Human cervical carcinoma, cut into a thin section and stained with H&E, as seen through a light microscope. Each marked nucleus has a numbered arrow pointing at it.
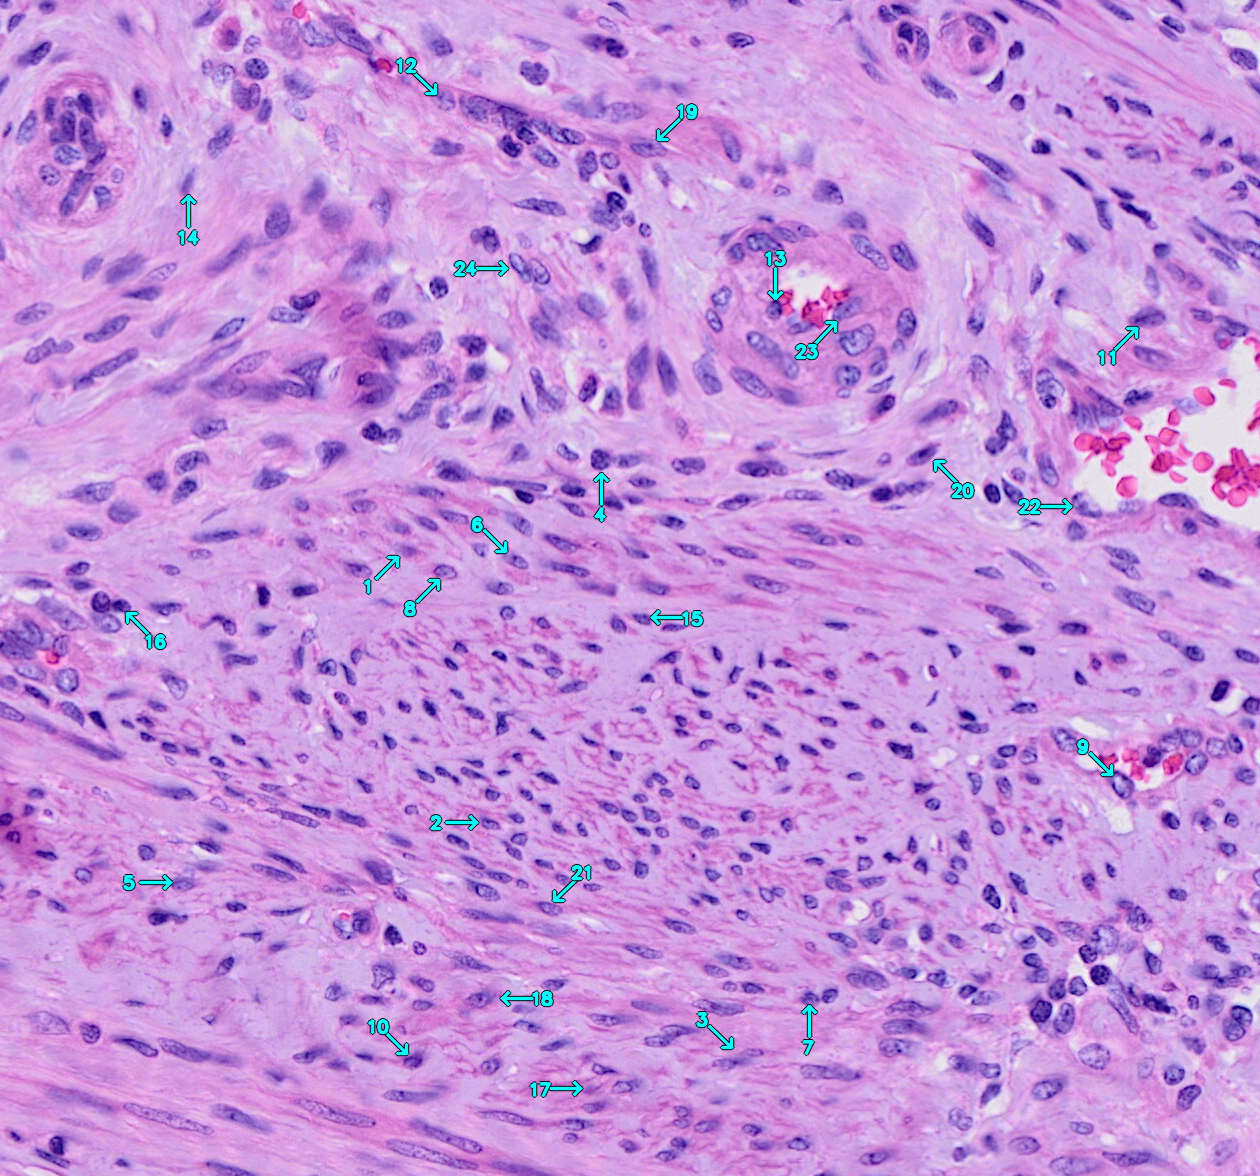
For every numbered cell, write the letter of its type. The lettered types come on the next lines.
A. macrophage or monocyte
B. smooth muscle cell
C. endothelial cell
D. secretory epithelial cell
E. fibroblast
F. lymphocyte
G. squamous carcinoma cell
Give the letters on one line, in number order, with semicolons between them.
B; B; B; F; B; B; B; B; C; B; A; C; C; E; B; F; B; B; C; E; B; C; C; C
